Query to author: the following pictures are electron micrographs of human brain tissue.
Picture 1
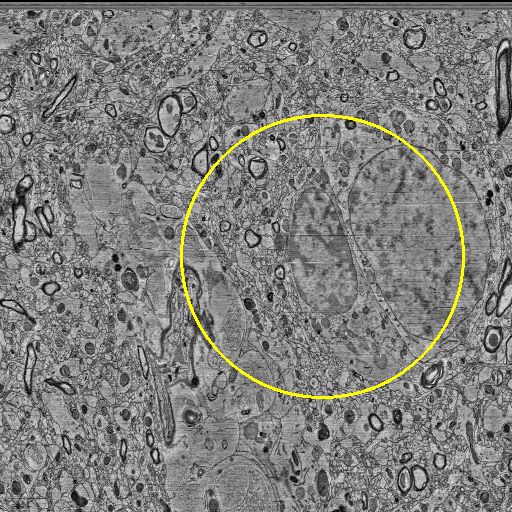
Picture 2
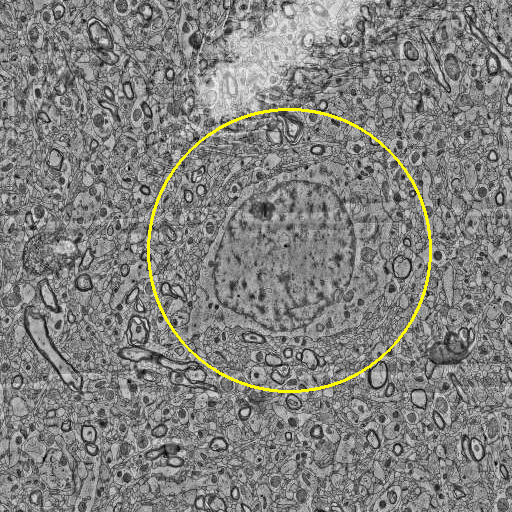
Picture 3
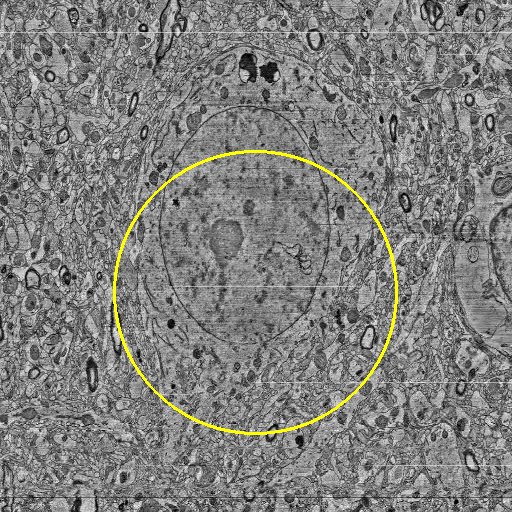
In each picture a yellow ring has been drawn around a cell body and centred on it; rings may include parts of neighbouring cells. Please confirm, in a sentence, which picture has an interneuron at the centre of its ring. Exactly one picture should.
Picture 2 has it at the centre of its ring.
